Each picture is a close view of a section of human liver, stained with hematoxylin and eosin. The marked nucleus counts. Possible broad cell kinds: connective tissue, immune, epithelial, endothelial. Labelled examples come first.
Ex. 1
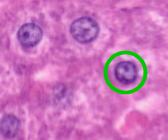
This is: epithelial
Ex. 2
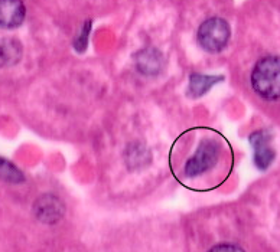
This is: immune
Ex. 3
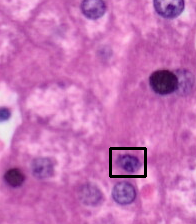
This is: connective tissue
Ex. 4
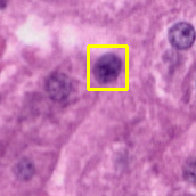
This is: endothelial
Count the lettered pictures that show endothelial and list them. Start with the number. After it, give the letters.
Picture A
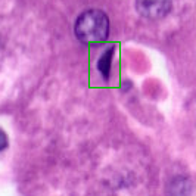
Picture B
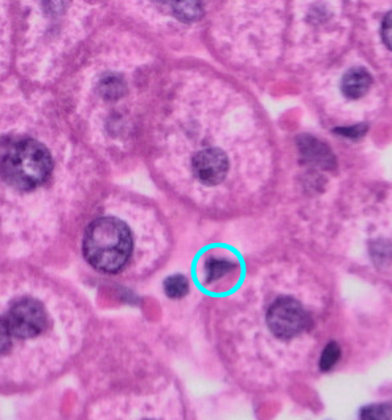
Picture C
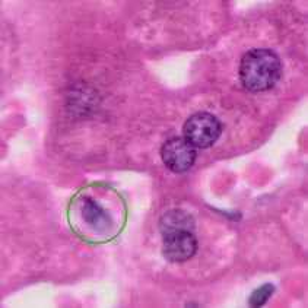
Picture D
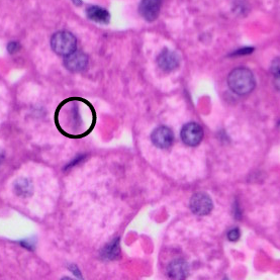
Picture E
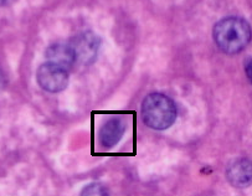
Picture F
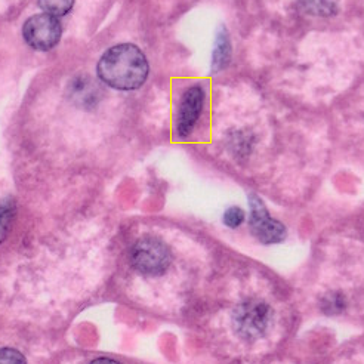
Count: 2 (B, D)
